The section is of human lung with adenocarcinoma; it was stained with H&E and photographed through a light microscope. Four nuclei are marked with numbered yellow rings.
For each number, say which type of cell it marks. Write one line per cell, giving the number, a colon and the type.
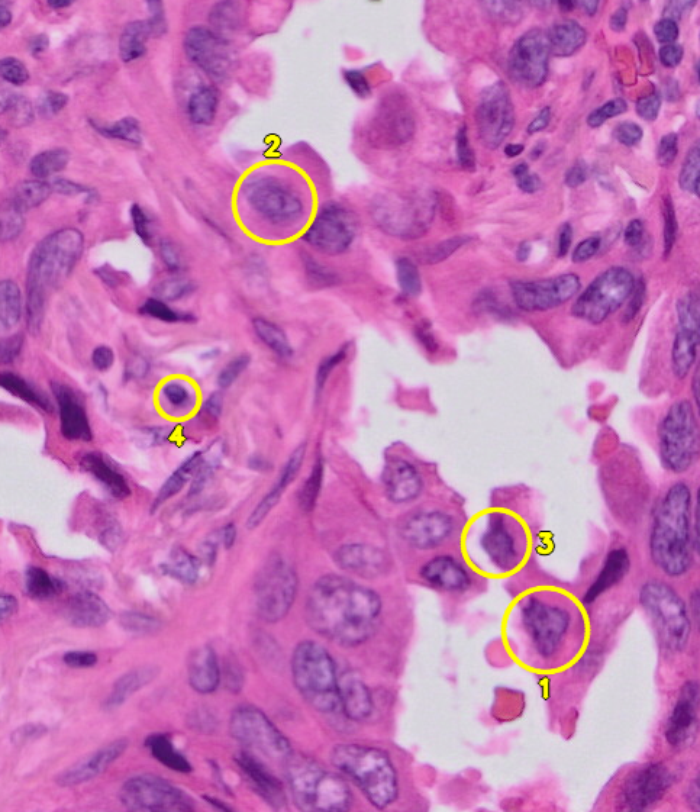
1: carcinoma cell
2: carcinoma cell
3: carcinoma cell
4: lymphocyte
